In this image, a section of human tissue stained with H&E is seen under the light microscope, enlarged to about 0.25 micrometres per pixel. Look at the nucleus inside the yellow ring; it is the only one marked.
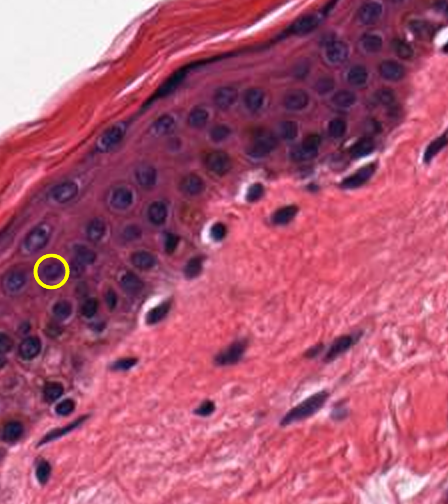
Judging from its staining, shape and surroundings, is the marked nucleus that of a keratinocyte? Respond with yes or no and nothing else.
yes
